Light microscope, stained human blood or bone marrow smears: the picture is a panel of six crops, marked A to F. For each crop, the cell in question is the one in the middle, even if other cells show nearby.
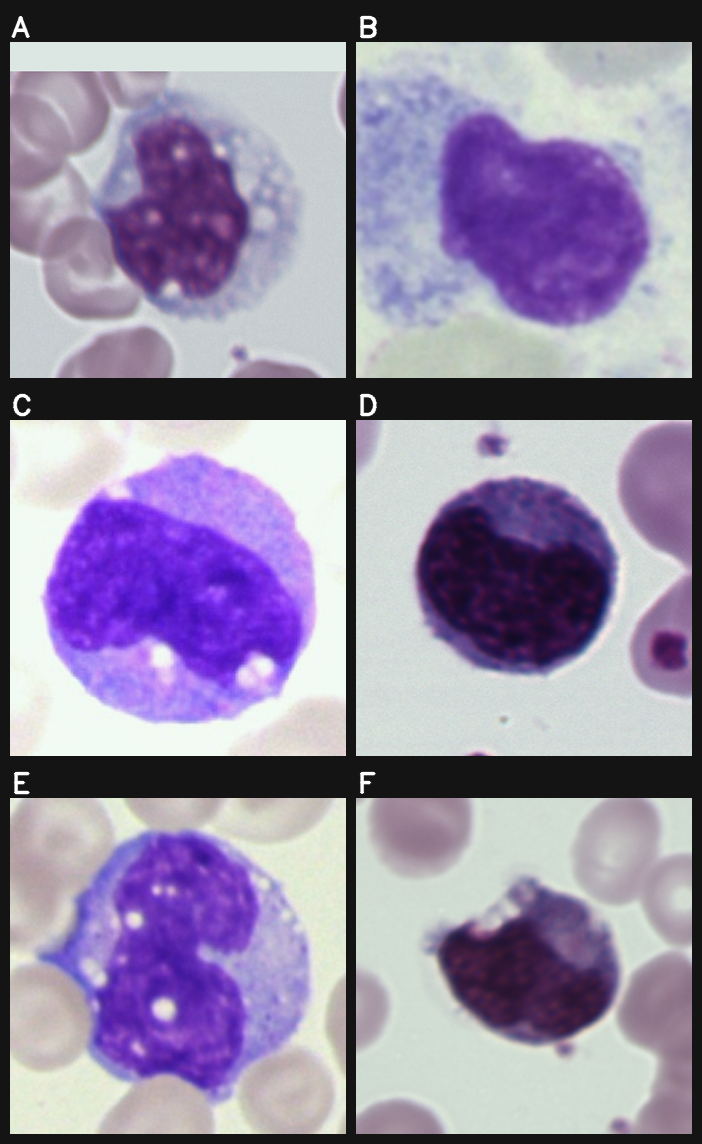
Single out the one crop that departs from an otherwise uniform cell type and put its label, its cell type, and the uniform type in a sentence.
Here the outlier is crop B, which is a hairy cell, and the rest are monocytes.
